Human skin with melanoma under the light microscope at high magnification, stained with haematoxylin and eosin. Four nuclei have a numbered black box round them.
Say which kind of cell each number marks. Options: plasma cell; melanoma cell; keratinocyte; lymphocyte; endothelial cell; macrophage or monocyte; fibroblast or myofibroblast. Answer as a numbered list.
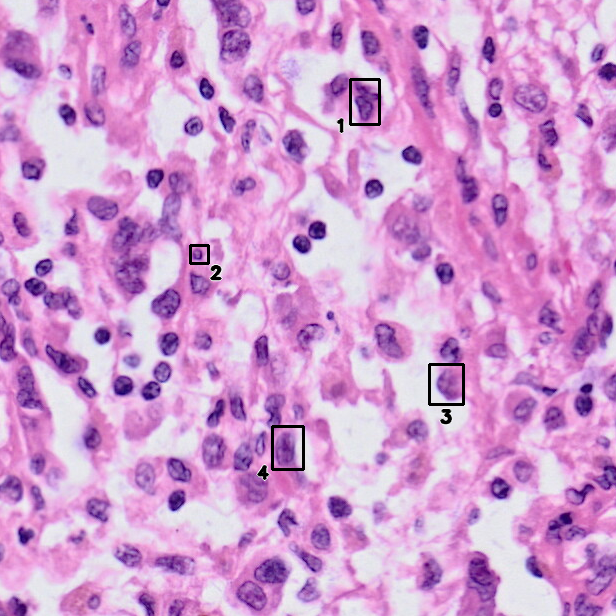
1. melanoma cell
2. macrophage or monocyte
3. melanoma cell
4. melanoma cell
